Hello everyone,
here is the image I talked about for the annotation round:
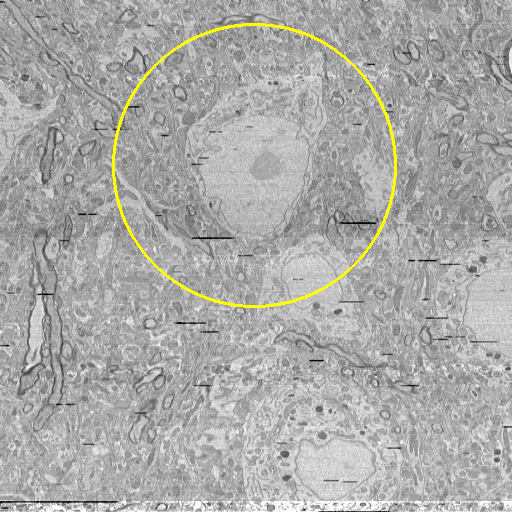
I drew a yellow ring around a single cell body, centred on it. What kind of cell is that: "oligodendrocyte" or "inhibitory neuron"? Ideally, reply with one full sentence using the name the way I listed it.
The cell your yellow ring is centred on is an inhibitory neuron, going by your list.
